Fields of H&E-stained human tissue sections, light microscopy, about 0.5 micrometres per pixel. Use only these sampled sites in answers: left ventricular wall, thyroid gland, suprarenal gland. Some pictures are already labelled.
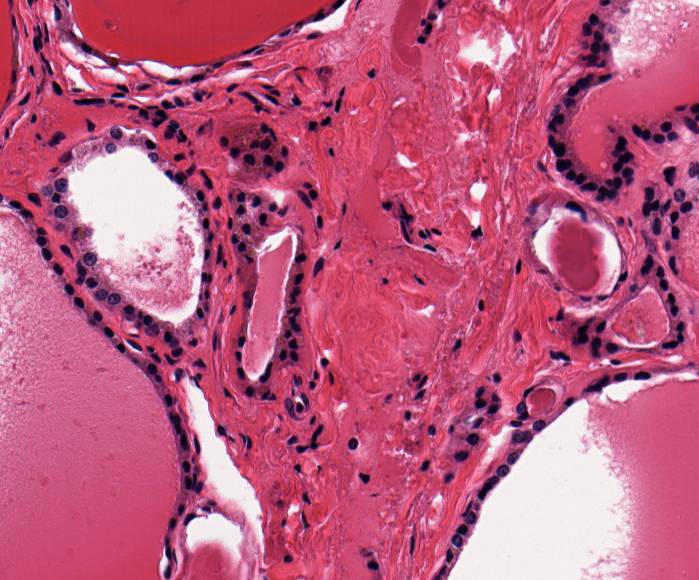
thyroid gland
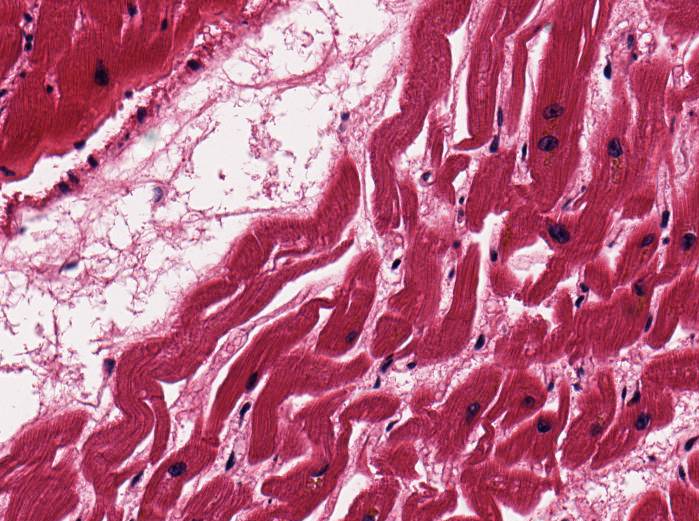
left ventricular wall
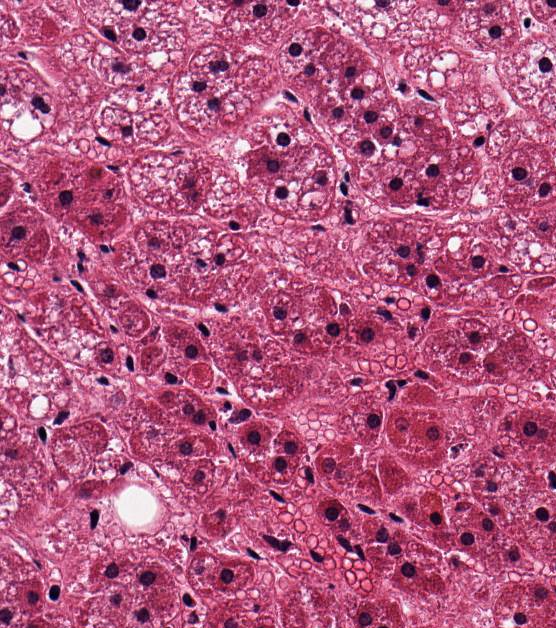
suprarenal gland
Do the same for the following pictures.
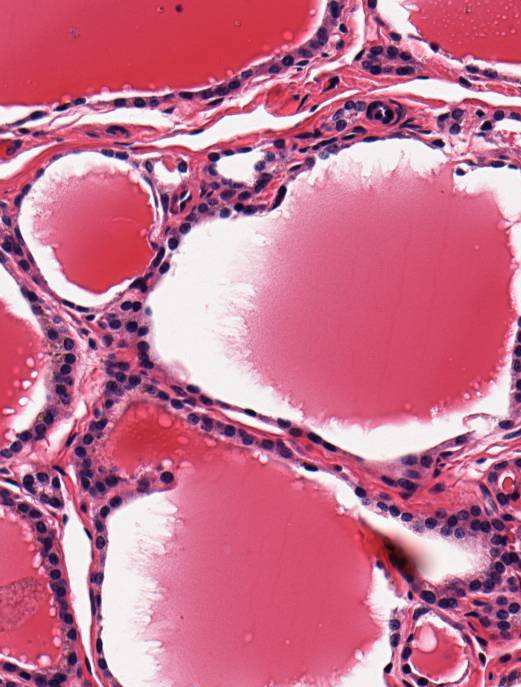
thyroid gland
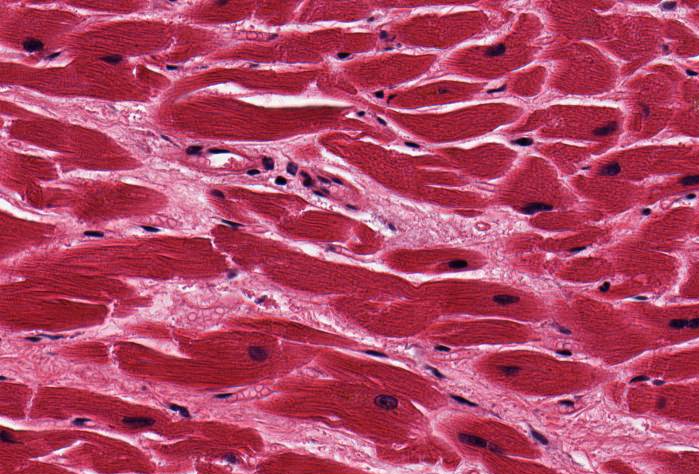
left ventricular wall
